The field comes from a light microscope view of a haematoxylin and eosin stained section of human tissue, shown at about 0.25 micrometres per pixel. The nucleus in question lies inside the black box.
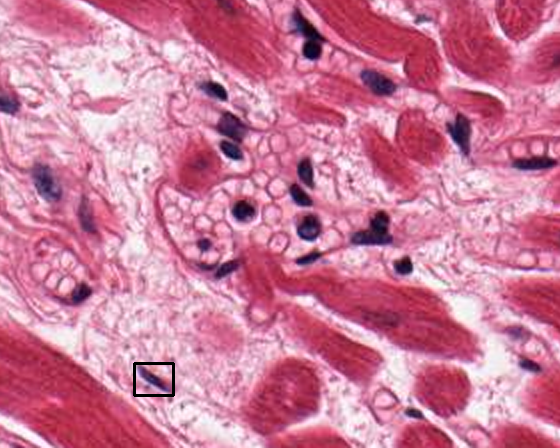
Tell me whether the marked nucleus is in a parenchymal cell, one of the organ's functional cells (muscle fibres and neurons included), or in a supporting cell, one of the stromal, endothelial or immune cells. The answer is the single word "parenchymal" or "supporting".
supporting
